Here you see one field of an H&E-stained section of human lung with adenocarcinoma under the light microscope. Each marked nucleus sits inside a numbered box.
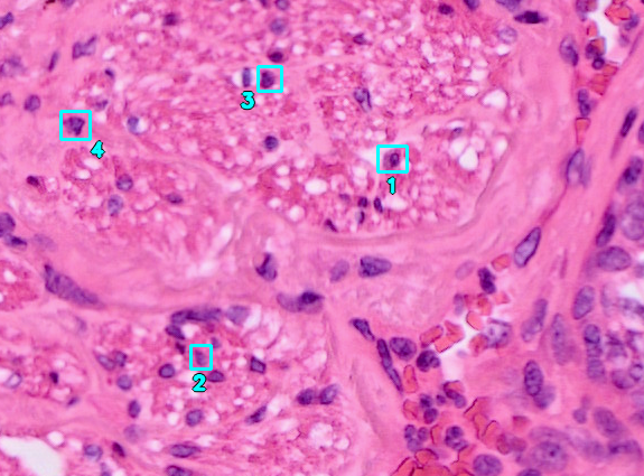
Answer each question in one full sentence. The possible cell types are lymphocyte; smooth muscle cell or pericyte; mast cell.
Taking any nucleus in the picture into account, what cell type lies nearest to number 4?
It is a smooth muscle cell or pericyte whose nucleus is nearest to number 4.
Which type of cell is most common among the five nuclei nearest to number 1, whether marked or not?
Smooth muscle cells or pericytes make up most of the five nuclei closest to number 1.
